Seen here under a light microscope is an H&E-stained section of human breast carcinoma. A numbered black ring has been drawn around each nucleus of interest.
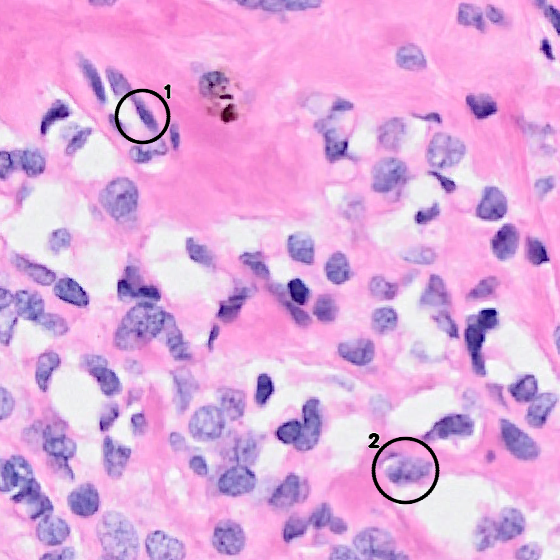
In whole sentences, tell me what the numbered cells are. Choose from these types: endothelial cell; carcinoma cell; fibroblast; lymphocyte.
Cell 1 is an endothelial cell. Cell 2 is a carcinoma cell.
